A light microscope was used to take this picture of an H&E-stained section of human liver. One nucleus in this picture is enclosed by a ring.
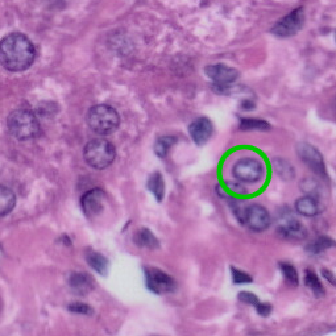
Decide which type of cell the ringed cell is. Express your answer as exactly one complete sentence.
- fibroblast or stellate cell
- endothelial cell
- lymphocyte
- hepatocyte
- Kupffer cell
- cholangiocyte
In short, the ringed cell on this section is a cholangiocyte.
